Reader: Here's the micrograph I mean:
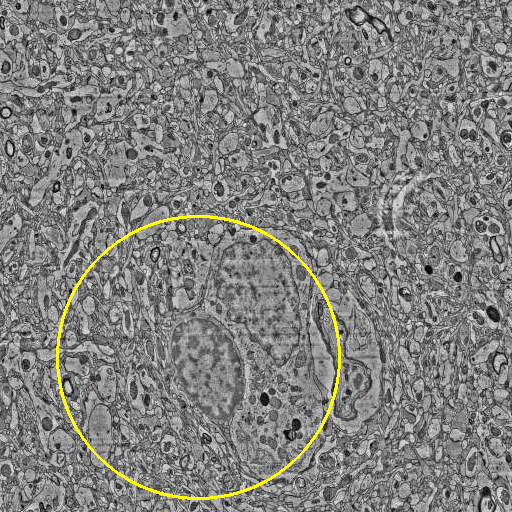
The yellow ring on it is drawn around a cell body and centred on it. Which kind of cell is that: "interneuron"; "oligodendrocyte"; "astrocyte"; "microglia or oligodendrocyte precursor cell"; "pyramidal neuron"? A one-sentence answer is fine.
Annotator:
The ring is centred on an oligodendrocyte.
